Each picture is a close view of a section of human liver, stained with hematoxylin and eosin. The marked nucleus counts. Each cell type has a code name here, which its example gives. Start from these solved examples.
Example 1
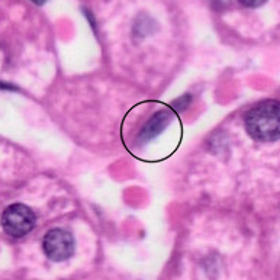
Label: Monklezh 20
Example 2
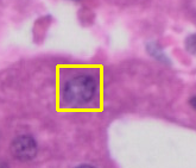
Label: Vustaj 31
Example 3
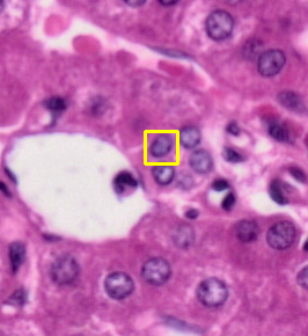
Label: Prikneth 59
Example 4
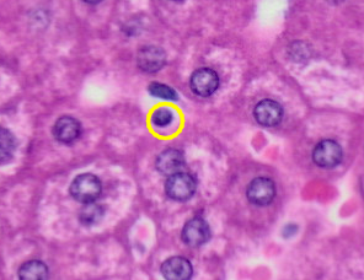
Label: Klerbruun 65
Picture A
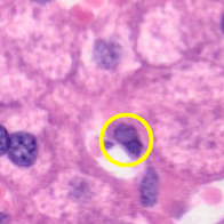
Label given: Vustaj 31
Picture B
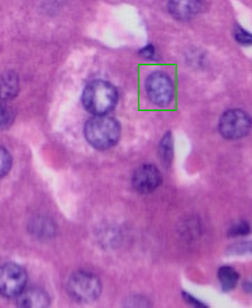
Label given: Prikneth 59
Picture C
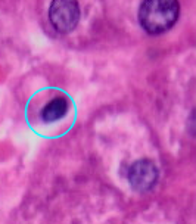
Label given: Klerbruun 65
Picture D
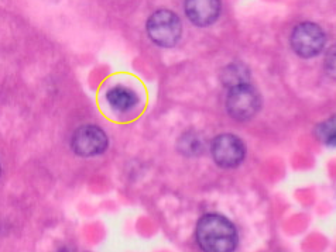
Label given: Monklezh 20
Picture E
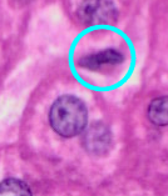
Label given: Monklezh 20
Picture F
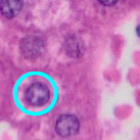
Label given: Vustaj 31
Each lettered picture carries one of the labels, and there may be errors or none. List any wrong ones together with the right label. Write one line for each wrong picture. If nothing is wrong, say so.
A is labelled Vustaj 31; correct label: Monklezh 20
D is labelled Monklezh 20; correct label: Klerbruun 65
